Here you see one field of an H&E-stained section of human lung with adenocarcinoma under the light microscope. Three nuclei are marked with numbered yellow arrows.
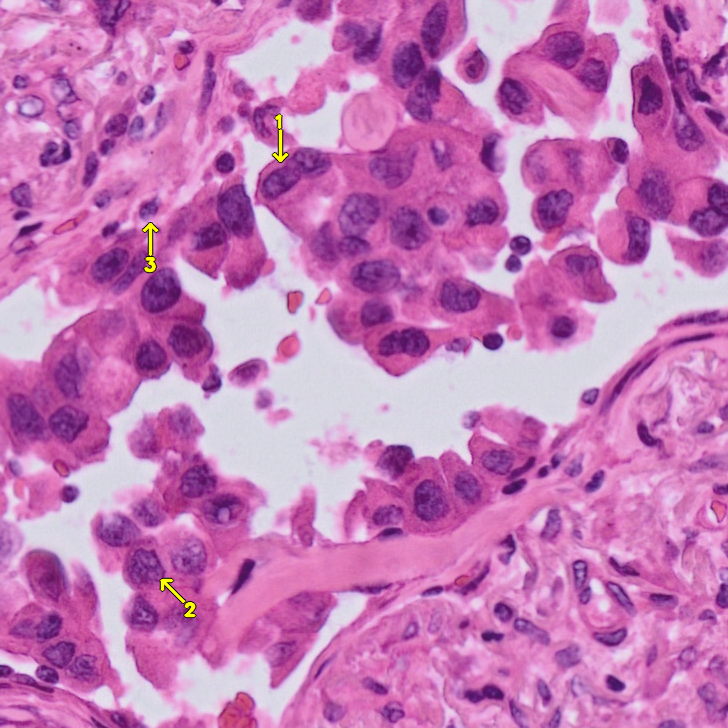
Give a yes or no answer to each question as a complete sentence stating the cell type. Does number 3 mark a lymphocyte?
Yes, the cell shown as number 3 is a lymphocyte.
